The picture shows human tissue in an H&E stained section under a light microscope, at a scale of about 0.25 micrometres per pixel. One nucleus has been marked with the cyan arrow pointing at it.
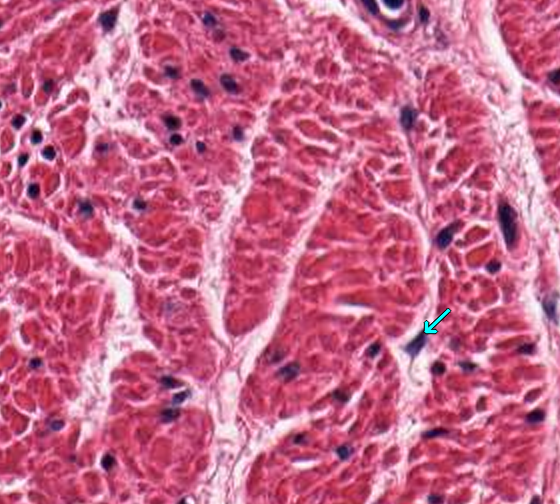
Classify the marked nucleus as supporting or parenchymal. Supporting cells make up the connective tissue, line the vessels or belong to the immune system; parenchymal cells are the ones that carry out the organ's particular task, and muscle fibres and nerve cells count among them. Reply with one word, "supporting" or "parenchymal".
supporting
